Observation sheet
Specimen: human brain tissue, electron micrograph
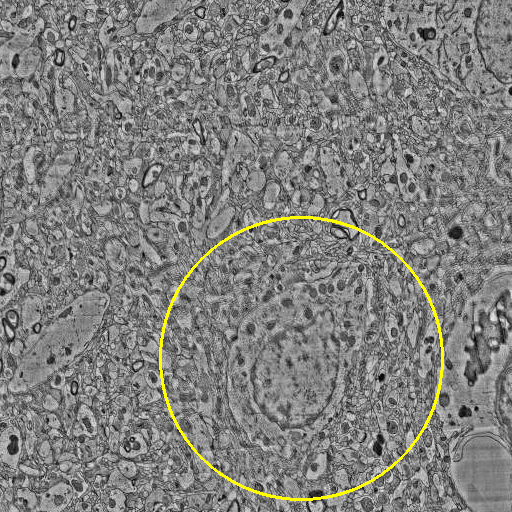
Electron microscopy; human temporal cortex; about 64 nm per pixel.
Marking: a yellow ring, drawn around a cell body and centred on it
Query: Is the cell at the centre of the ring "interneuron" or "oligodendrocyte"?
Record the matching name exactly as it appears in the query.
interneuron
